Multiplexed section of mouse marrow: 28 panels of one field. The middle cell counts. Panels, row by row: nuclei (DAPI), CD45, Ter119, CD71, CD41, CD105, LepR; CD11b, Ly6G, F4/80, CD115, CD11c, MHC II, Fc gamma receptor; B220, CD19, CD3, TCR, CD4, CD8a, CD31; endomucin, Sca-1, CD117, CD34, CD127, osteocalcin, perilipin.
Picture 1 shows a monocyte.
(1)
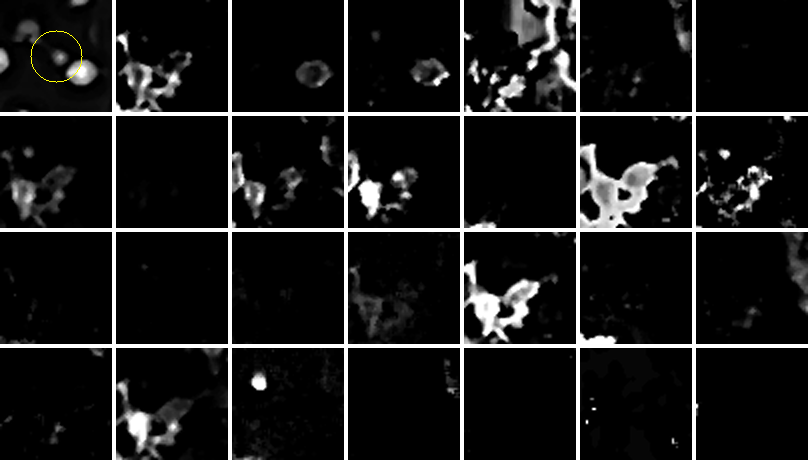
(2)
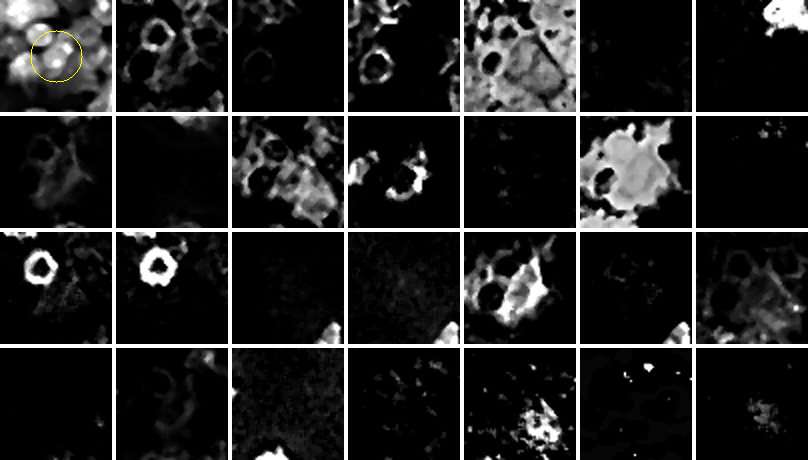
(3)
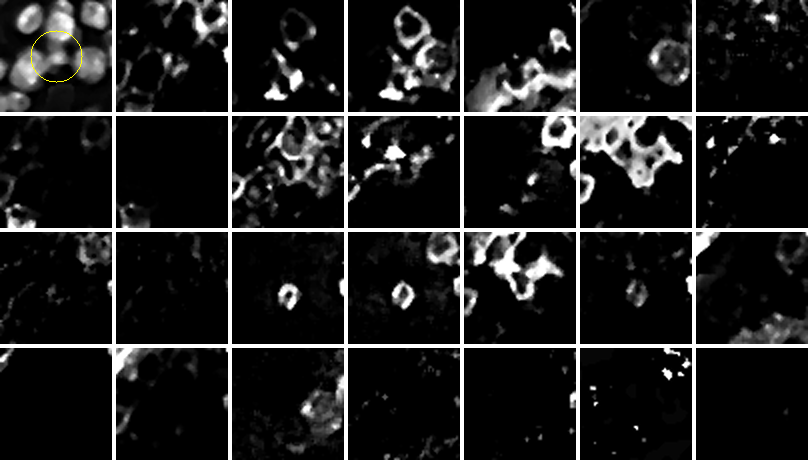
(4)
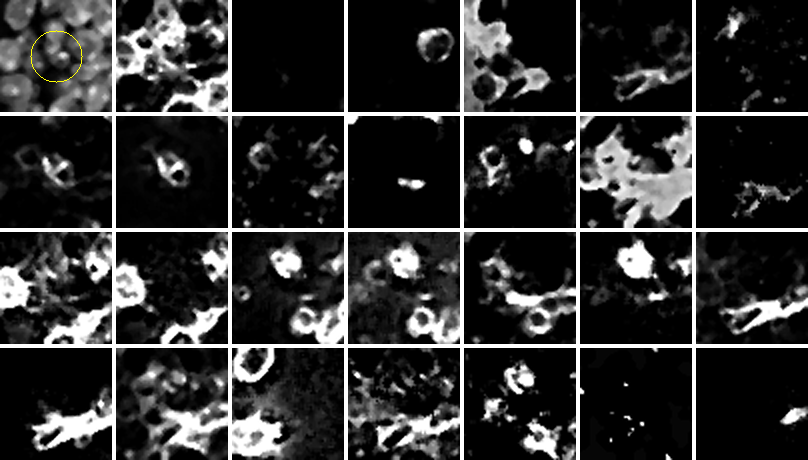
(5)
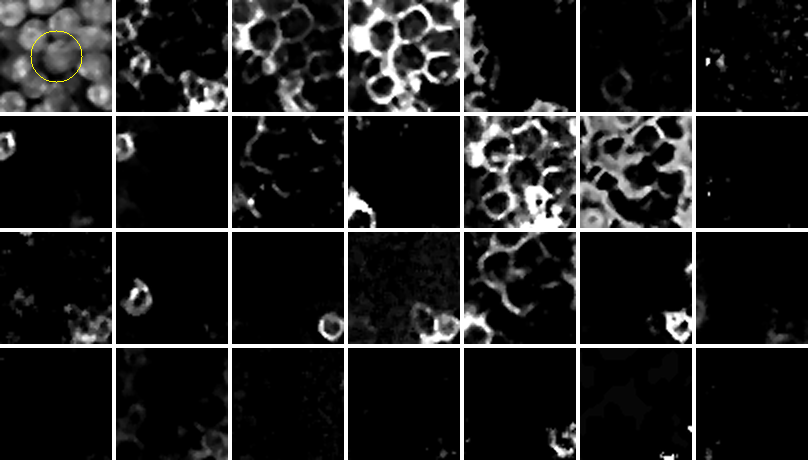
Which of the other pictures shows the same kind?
Picture 2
